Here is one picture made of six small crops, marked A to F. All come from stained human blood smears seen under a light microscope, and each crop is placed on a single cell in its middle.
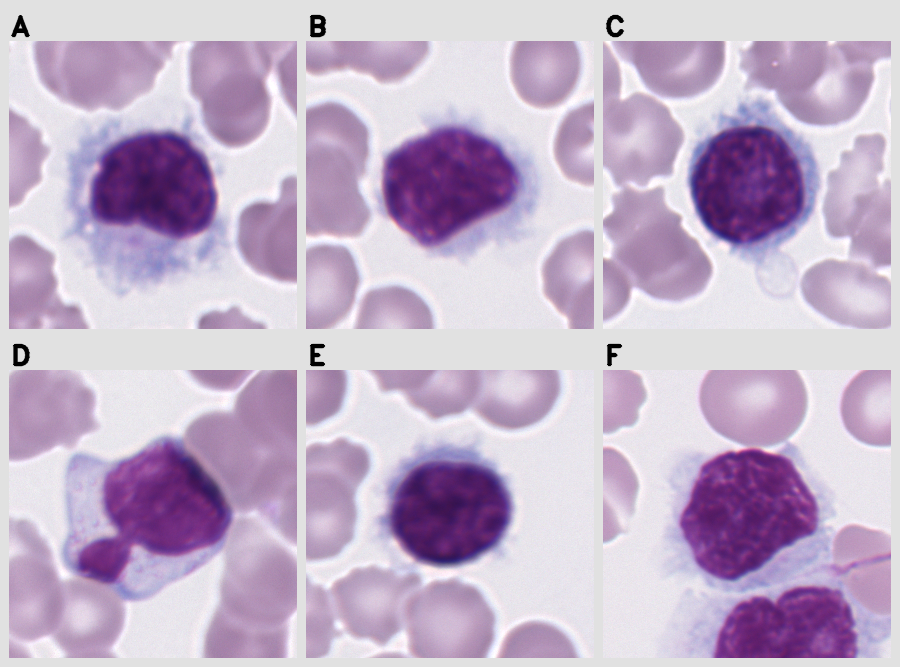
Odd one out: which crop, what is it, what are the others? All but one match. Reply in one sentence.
Identified in crop D is a large granular lymphocyte, whereas the other crops all show hairy cells.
